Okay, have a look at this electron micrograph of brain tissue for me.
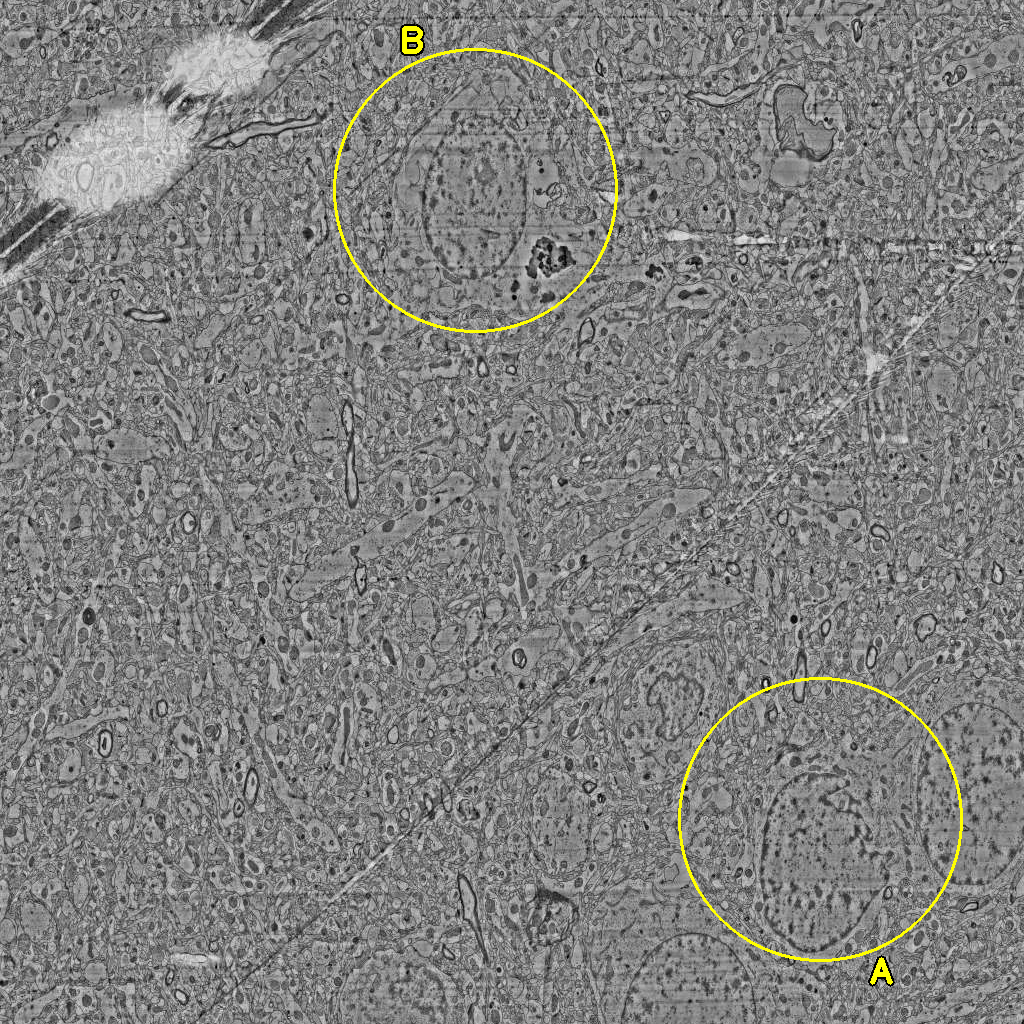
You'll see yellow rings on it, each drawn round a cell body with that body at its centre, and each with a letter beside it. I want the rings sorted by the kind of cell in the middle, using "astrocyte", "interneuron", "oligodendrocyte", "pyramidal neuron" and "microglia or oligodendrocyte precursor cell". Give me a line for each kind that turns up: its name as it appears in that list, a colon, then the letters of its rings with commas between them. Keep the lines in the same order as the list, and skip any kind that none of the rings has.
astrocyte: B
microglia or oligodendrocyte precursor cell: A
